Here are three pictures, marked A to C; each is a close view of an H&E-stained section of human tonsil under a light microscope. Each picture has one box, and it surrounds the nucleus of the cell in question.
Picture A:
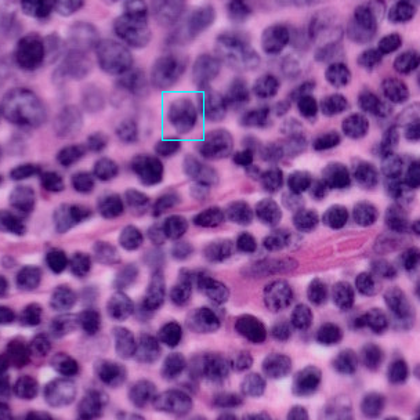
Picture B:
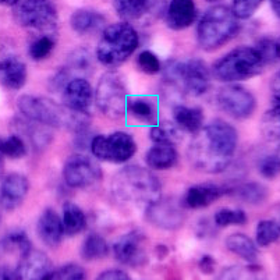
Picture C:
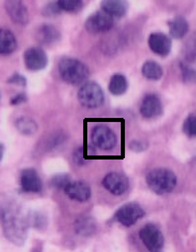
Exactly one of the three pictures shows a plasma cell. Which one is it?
C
